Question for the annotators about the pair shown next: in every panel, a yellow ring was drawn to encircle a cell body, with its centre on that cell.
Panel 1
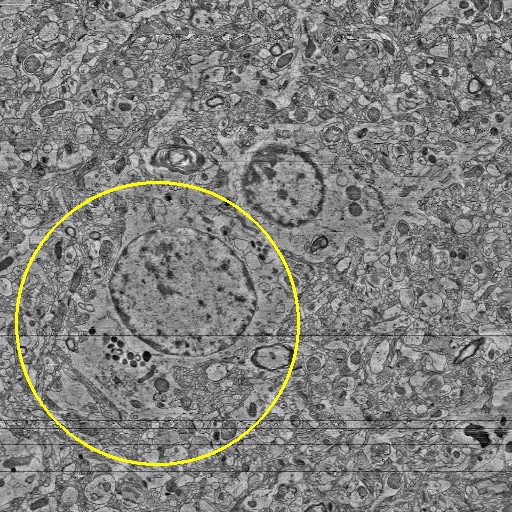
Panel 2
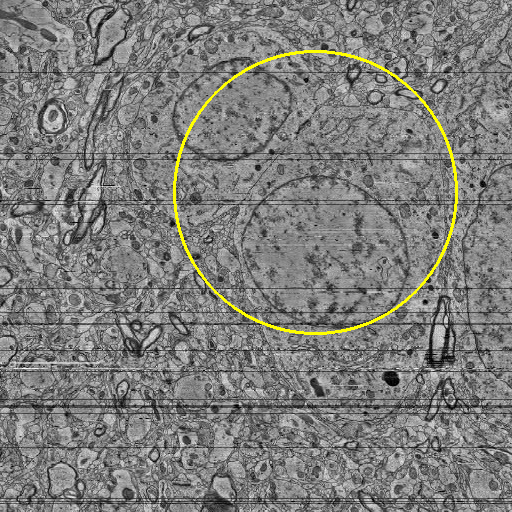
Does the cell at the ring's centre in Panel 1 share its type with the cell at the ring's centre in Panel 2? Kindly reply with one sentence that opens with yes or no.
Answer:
No, in Panels 1 and 2 the cells at the ring centres belong to separate types.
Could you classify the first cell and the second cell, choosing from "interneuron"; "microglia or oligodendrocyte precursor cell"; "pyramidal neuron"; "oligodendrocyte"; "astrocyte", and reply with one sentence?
The second cell is a pyramidal neuron, while the first is an astrocyte.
